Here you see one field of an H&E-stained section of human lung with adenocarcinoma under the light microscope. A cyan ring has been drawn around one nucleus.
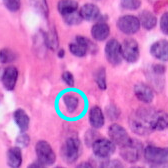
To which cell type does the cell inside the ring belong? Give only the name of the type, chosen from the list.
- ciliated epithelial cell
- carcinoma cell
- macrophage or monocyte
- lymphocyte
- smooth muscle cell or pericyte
lymphocyte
